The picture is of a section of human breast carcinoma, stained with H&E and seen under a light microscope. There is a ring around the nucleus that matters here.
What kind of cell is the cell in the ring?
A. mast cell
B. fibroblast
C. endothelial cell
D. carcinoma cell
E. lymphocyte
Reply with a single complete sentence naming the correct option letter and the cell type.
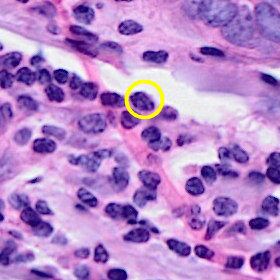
Option E properly identifies the cell in the ring as a lymphocyte.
